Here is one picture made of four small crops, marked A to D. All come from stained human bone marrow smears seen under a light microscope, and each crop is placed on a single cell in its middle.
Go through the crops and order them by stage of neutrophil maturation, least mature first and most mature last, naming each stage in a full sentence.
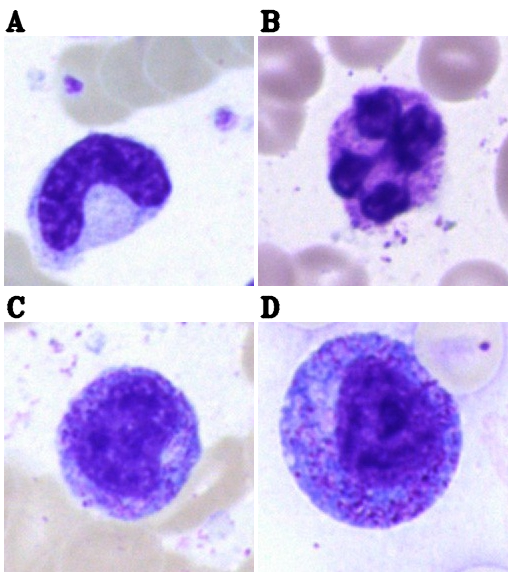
The ordering by maturity, least to greatest, is crop D (a promyelocyte), crop C (a myelocyte), crop A (a band neutrophil) and crop B (a segmented neutrophil).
